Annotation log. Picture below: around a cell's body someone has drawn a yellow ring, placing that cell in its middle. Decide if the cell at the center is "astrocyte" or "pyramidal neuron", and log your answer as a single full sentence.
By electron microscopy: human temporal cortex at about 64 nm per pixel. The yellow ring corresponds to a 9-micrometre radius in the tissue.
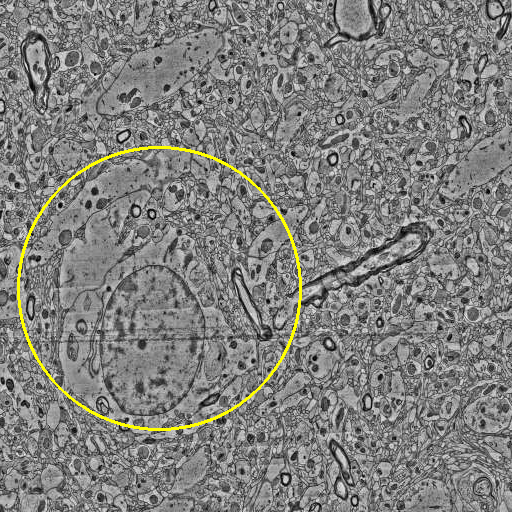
My entry records an astrocyte as the cell sitting at the center of the yellow ring.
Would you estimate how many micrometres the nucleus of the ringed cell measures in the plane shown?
In this plane the nucleus spans approximately 10 by 7 micrometers.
